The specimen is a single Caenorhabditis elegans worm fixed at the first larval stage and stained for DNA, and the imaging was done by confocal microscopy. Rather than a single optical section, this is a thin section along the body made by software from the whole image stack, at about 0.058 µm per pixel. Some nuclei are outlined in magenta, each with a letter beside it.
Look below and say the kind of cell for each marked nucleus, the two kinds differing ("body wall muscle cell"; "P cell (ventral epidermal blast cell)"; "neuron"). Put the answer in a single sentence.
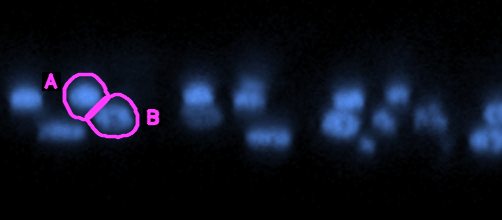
A is in a neuron and B is in a body wall muscle cell.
